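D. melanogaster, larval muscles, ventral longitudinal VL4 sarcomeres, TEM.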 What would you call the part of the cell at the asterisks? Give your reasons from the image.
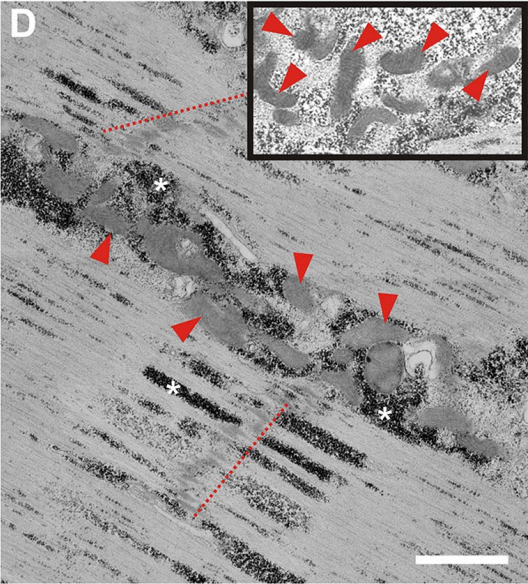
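Glycogen granules. Dense black granular clusters lie alongside the mitochondria and between myofibrils.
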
